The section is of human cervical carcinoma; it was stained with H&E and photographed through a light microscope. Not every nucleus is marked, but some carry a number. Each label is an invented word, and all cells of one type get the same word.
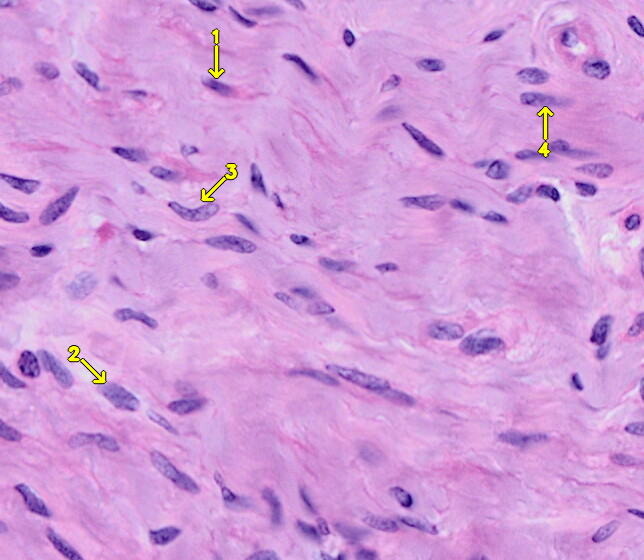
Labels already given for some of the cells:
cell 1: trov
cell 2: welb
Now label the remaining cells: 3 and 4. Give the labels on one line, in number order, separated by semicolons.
welb; welb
